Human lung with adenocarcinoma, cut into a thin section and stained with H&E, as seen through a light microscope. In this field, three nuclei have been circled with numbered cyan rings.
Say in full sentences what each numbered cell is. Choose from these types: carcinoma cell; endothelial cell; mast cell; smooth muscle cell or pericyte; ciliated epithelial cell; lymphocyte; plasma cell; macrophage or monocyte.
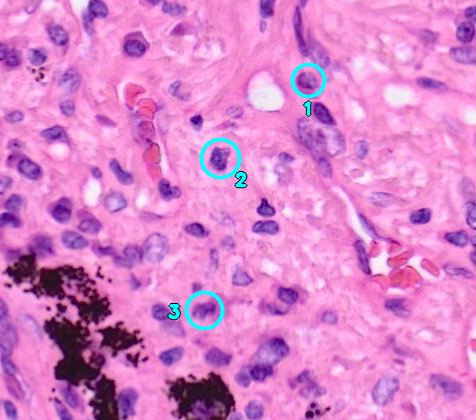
Cell 1 is a plasma cell, cell 2 is a lymphocyte and cell 3 is a plasma cell.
